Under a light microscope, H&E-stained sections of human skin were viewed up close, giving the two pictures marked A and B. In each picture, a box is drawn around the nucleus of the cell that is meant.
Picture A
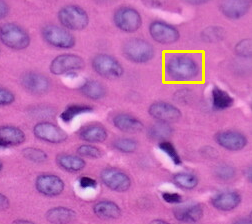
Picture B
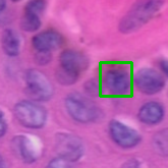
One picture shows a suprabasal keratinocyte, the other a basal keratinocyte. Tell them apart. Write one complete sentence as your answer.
Picture A shows a suprabasal keratinocyte and picture B shows a basal keratinocyte.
